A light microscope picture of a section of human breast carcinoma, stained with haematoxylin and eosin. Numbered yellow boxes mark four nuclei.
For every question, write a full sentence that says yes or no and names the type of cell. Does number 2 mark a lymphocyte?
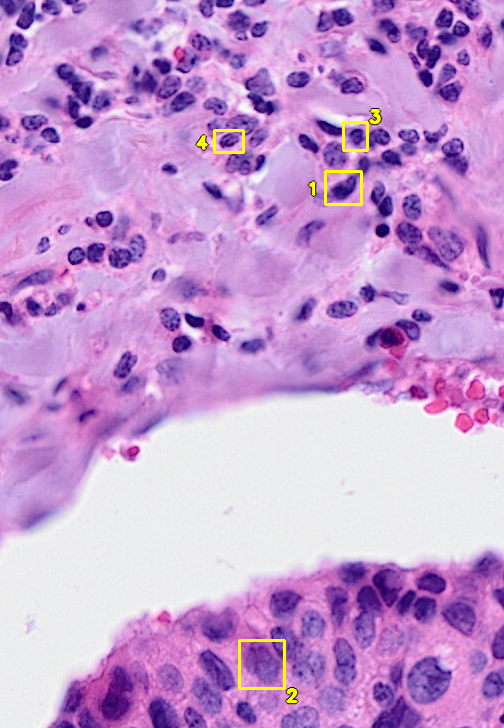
No, a lymphocyte is not what cell 2 is; it is a carcinoma cell.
